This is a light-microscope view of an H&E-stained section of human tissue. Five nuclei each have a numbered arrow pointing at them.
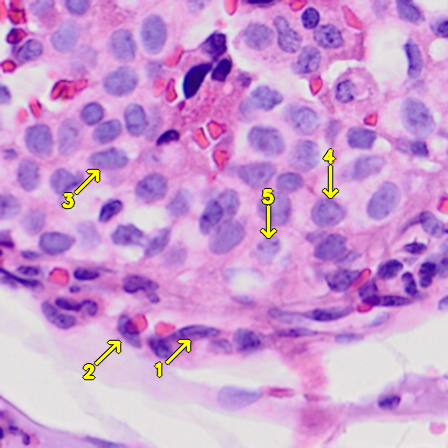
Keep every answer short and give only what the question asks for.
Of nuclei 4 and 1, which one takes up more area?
4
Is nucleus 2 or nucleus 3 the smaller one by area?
2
